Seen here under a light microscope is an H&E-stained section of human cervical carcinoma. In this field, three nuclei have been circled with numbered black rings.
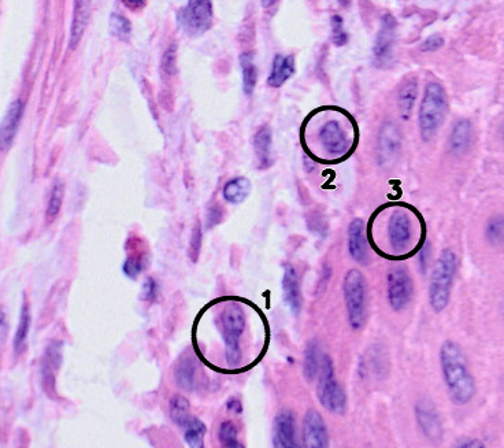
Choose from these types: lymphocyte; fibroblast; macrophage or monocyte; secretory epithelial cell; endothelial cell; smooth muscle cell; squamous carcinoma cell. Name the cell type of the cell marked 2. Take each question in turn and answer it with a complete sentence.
In the marked set, the cell given number 2 is a macrophage or monocyte.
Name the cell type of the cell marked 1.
Here, the cell given the number 1 is a macrophage or monocyte.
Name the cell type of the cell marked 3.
The cell marked with the number 3 is a squamous carcinoma cell.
